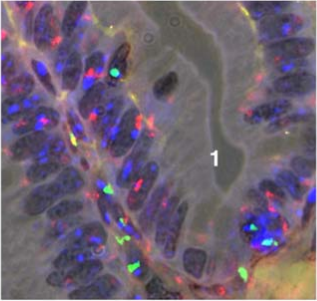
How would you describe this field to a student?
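A single row of tall columnar epithelial cells lines a narrow slit-like lumen, their elongated oval nuclei stacked near the base and sitting in pale cytoplasm. Many nuclei carry small red dots, and a few carry bright green dots, some near the base of the epithelium next to the thin underlying connective tissue, and some among the cells of the epithelial layer itself. A few nuclei appear darker and brownish.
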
